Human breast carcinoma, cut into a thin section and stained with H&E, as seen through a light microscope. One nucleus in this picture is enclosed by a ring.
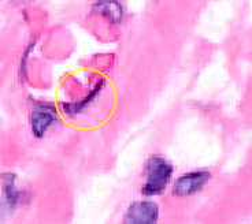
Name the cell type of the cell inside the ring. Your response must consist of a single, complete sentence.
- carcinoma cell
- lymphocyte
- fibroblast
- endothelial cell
In terms of identity, the cell inside the ring is an endothelial cell.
